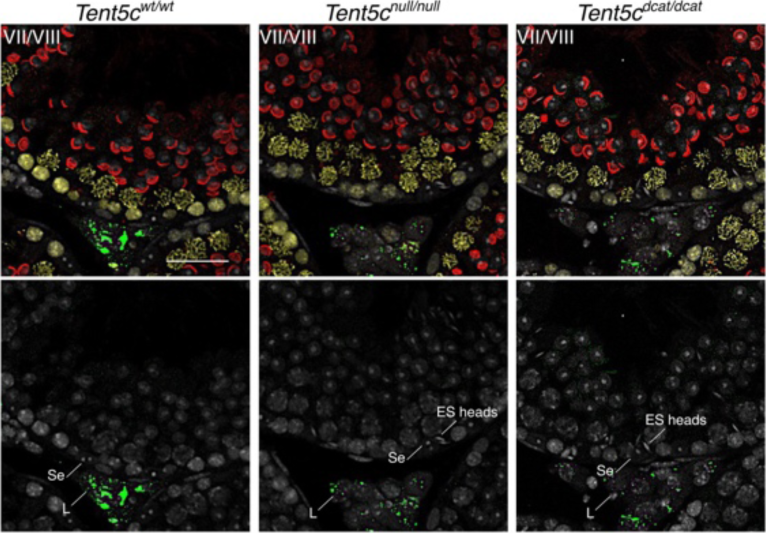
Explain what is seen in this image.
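Cross sections of seminiferous tubules with the interstitium between them, shown as three side-by-side fields in two rows with different colour channels. In the upper row, a band of large round spermatocyte nuclei carries yellow thread-like patterns. Toward the lumen, many smaller round spermatid nuclei bear red crescent-shaped acrosomal caps. Green granules cluster in the interstitial space between tubules, where Leydig cells lie. In the lower row only grey nuclei and green are shown, and the green interstitial clusters are strongest in the left field and sparse in the other two.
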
